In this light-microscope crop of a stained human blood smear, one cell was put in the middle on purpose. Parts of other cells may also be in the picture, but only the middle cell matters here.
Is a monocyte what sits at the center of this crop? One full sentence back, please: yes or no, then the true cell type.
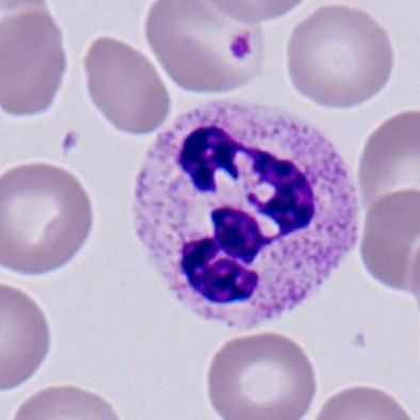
No, a monocyte is not what the central cell is; it is a segmented neutrophil.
